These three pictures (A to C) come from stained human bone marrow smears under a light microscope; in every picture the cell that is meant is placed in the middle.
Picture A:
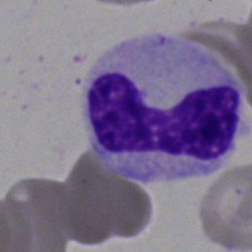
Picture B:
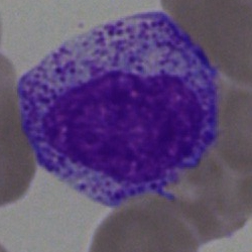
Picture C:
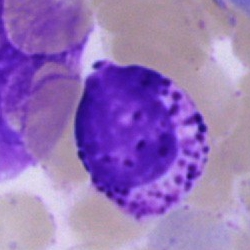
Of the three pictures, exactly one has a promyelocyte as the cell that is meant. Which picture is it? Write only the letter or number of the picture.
B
